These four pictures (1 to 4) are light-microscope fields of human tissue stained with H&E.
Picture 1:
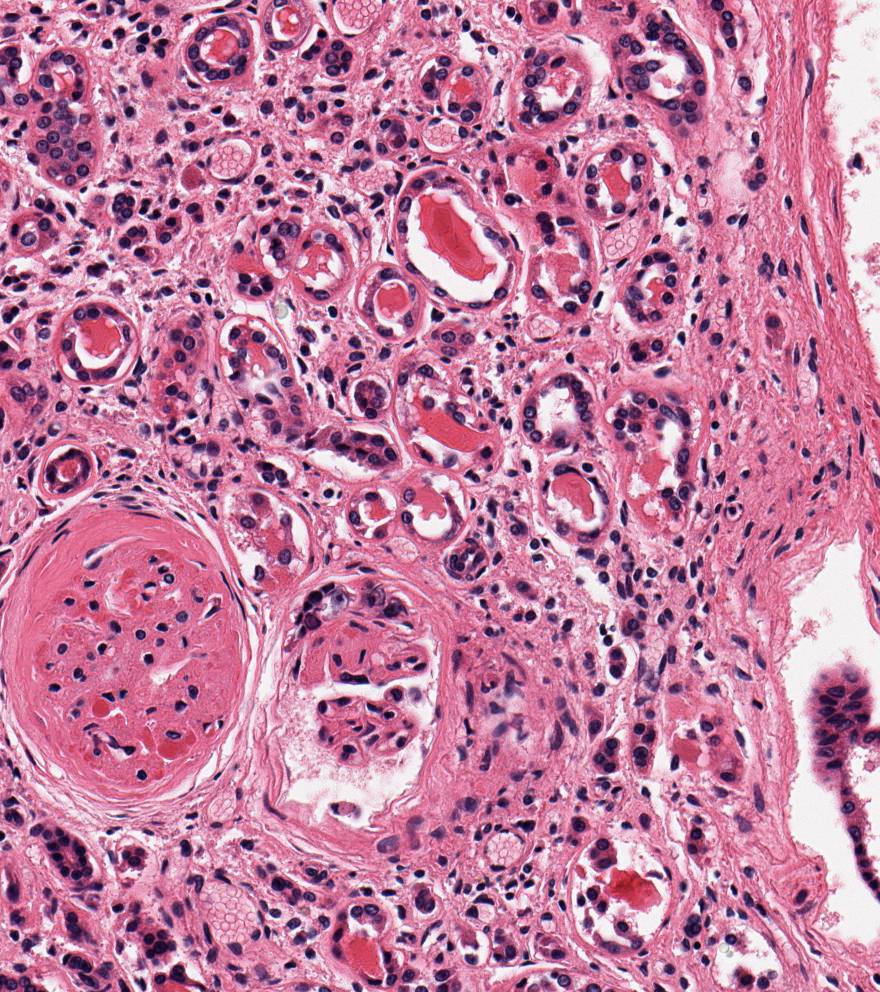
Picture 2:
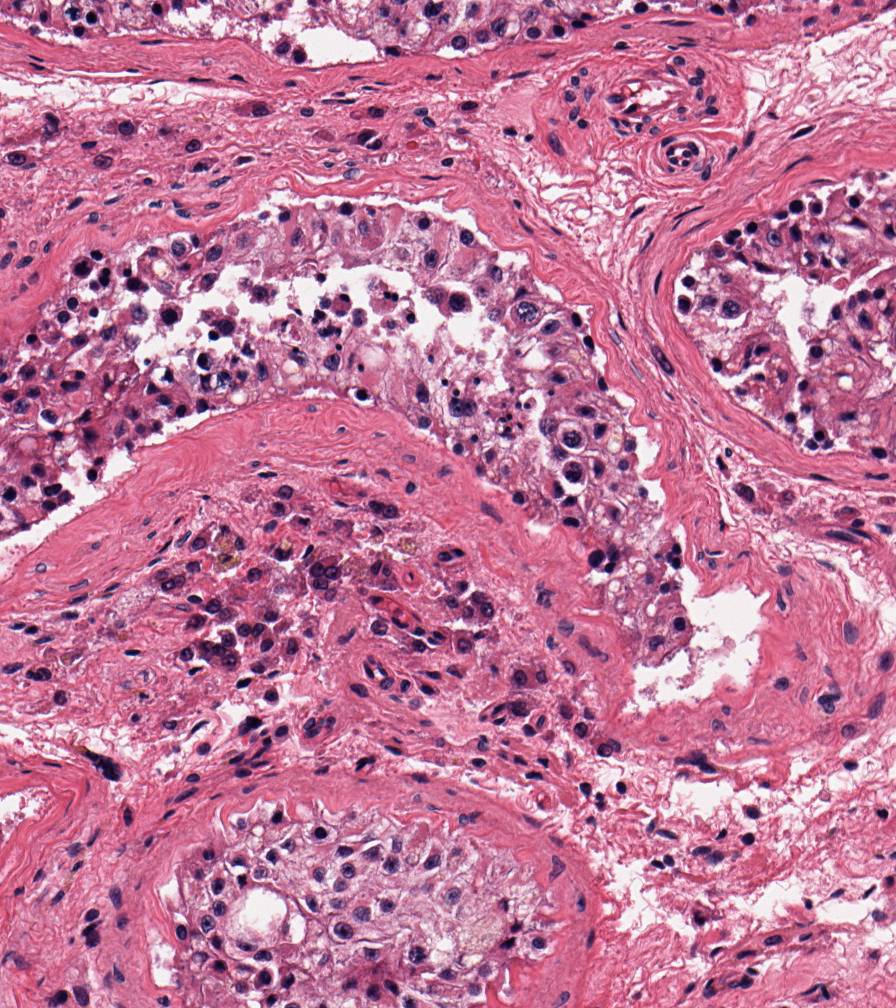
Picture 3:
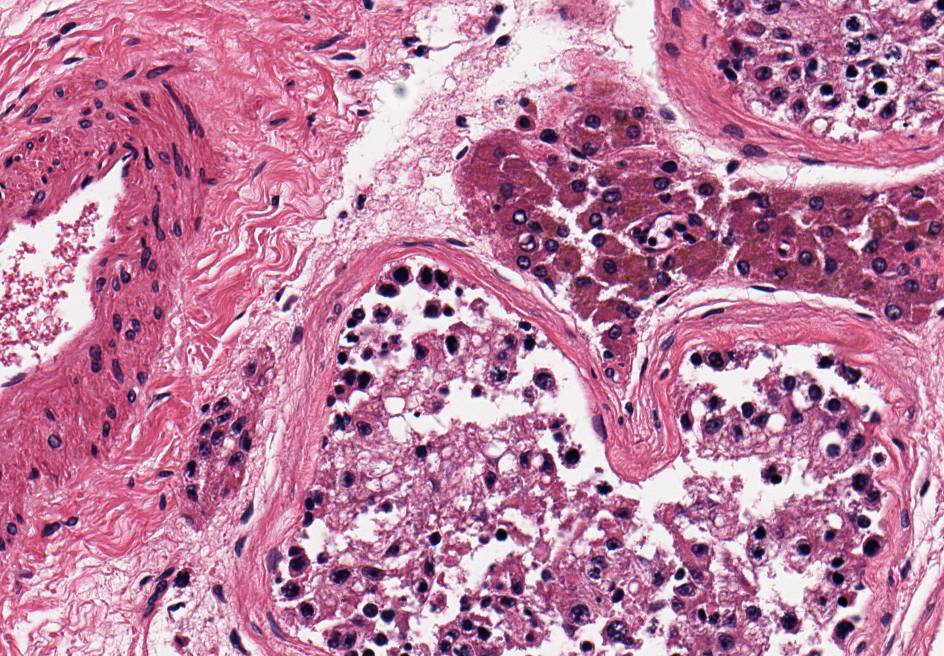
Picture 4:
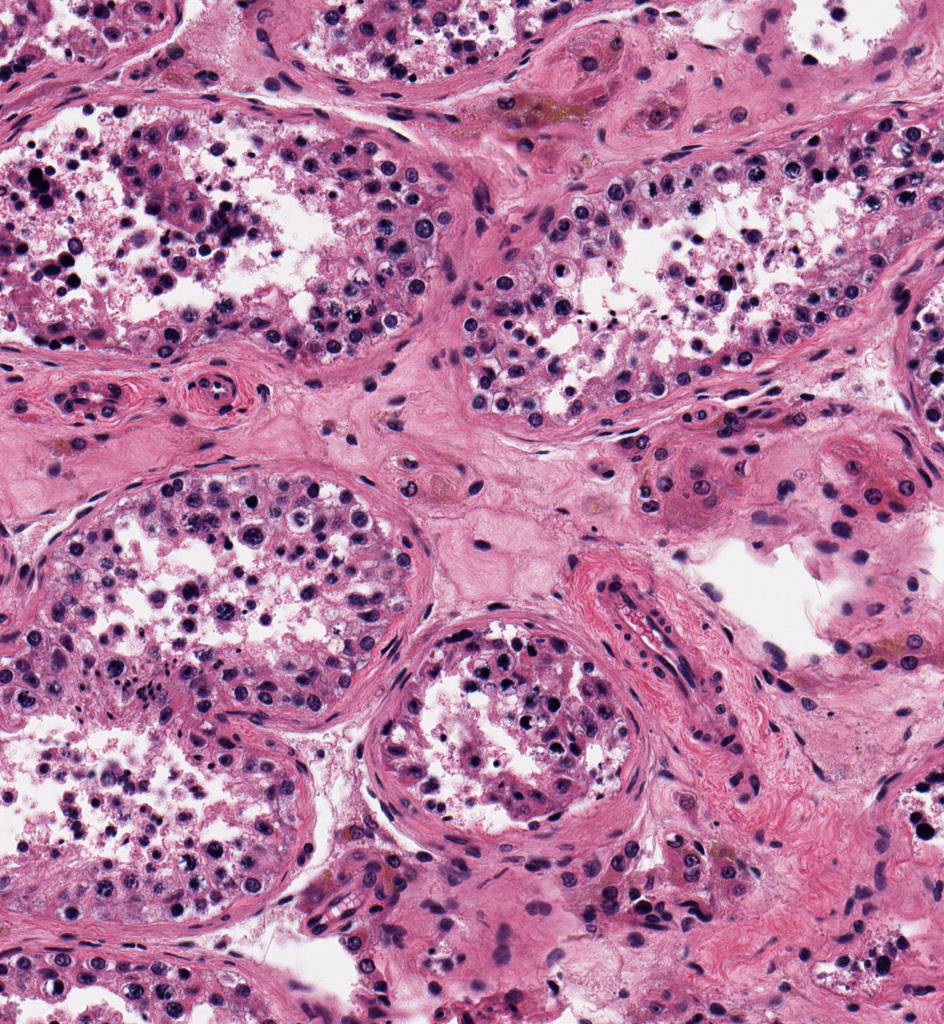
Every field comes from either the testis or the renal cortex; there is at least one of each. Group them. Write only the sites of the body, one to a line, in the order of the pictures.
renal cortex
testis
testis
testis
